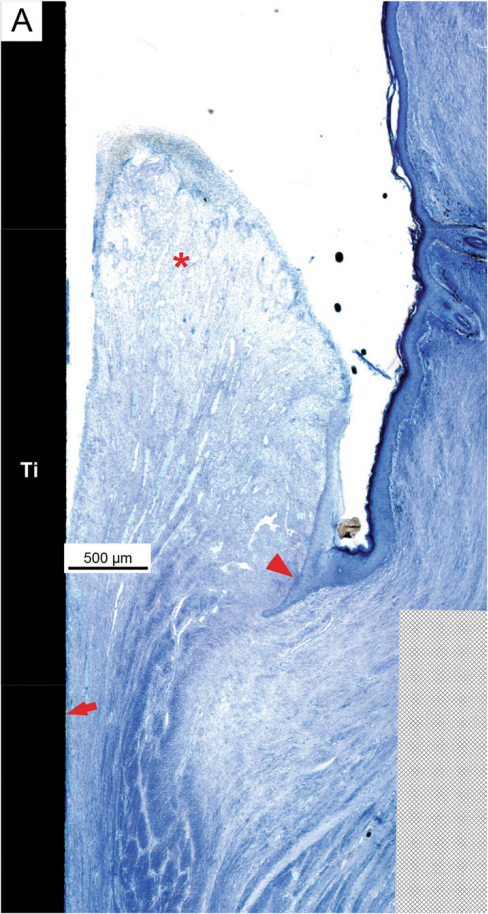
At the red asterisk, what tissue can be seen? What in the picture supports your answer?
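Granulation tissue. A pale, loosely textured tissue mass fills the space between the black implant and the skin. The tissue holds many small scattered cells and fine vessel-like profiles.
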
